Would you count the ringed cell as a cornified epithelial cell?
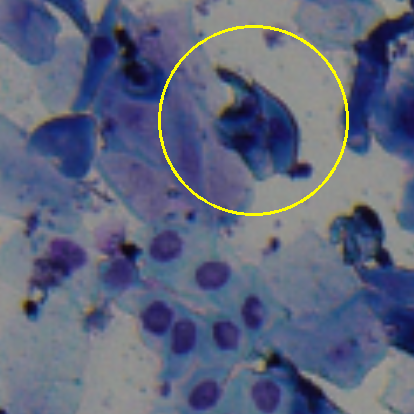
Yes, I would count it as a cornified epithelial cell.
